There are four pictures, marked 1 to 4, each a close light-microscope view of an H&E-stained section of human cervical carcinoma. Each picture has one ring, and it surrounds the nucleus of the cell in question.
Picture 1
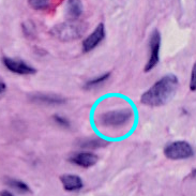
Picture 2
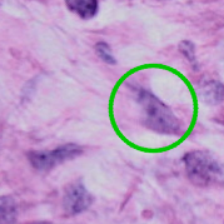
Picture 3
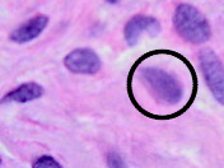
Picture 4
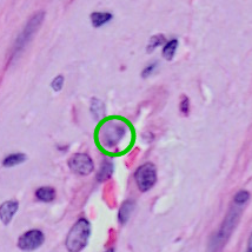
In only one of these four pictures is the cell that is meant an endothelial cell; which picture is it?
4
